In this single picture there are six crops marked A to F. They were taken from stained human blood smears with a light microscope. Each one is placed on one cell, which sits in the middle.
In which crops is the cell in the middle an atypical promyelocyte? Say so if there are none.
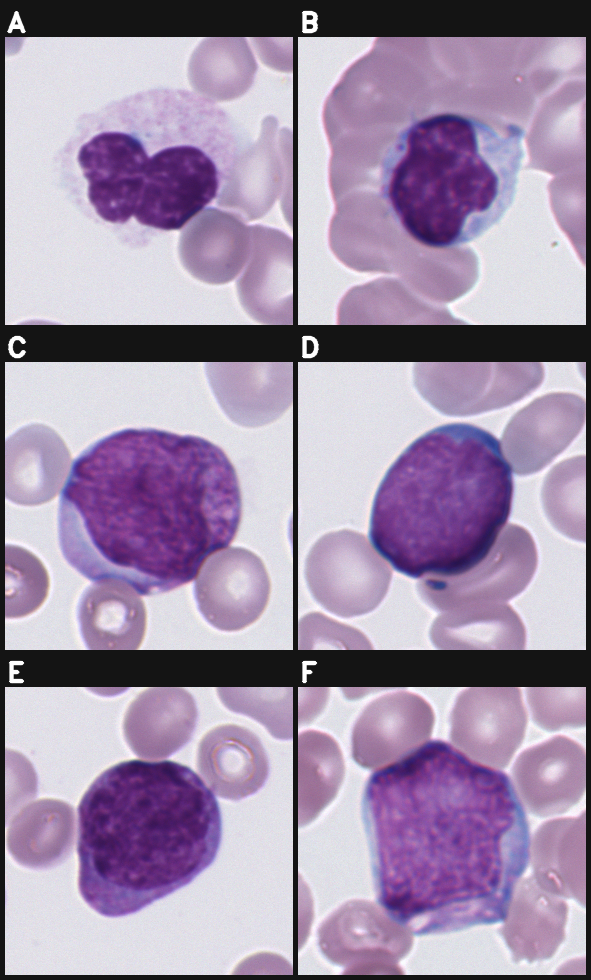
C, E, F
